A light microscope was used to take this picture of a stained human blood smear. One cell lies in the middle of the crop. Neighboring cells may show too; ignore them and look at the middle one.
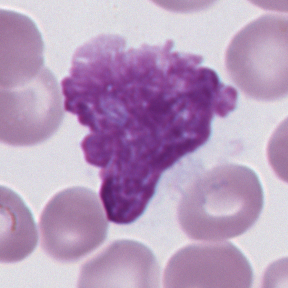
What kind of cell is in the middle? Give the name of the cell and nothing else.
smudge cell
